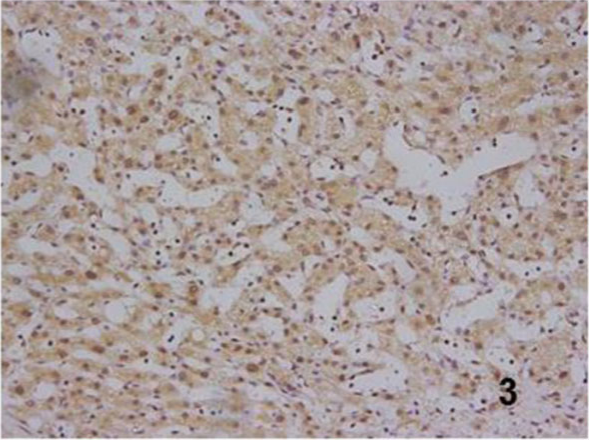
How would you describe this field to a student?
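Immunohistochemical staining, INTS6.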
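These are liver tumour cells arranged in irregular, anastomosing cords and trabeculae separated by wide, empty-looking vascular spaces, quite unlike the orderly plates of normal liver. The tumour cells are polygonal with moderate amounts of cytoplasm, and both their round nuclei and cytoplasm take up a clear brown colour, the nuclei appearing the more intensely brown. Scattered small, dark, compact nuclei lining the spaces and lying between cords belong to lining and inflammatory cells, which stay dark blue rather than brown.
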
